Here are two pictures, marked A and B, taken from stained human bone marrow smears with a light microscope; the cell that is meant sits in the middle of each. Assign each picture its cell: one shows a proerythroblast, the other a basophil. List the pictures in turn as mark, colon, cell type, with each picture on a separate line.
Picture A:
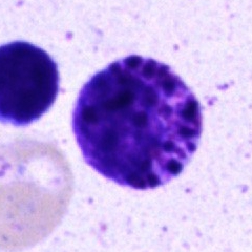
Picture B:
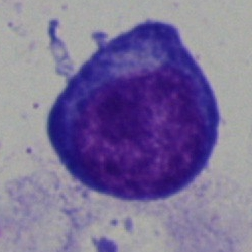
A: basophil
B: proerythroblast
